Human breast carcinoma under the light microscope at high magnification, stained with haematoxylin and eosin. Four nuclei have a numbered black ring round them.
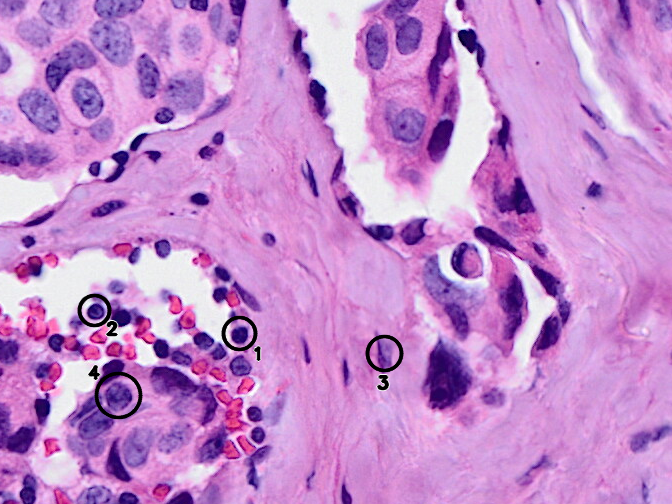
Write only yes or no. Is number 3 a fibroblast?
yes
